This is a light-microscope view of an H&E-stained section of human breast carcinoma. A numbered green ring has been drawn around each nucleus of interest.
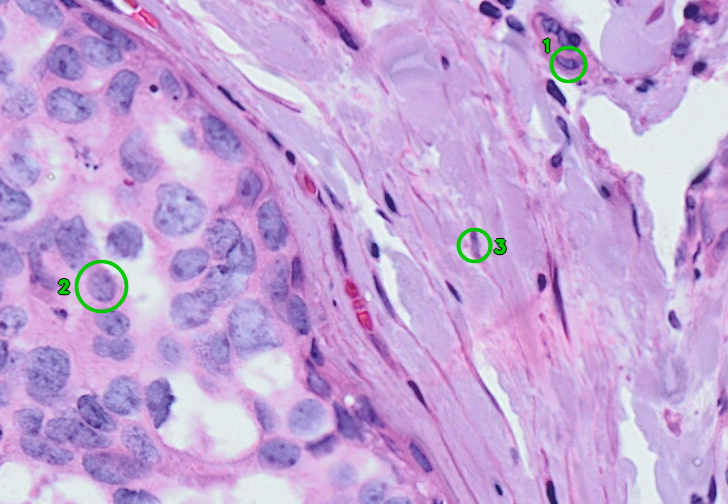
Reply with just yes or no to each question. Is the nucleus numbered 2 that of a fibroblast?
no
